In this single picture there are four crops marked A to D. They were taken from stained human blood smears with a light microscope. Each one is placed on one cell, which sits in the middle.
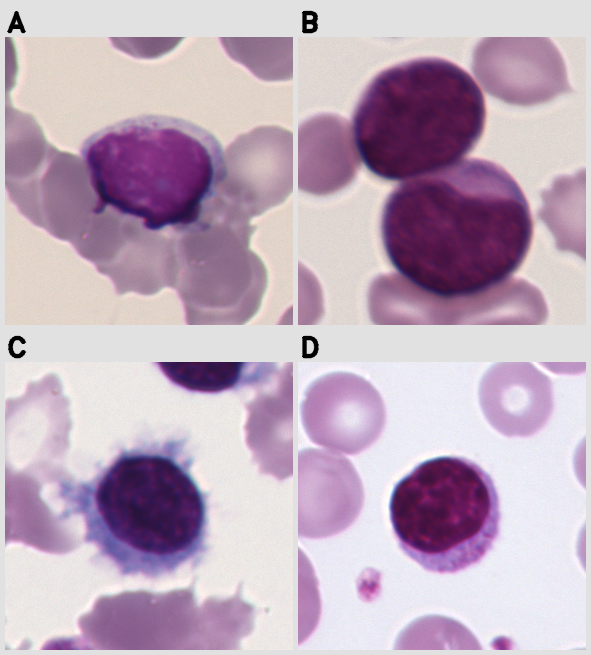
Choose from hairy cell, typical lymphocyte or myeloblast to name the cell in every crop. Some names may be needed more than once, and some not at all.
A: typical lymphocyte
B: myeloblast
C: hairy cell
D: typical lymphocyte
